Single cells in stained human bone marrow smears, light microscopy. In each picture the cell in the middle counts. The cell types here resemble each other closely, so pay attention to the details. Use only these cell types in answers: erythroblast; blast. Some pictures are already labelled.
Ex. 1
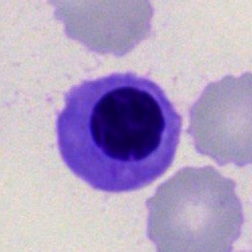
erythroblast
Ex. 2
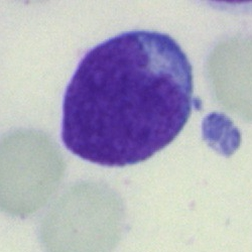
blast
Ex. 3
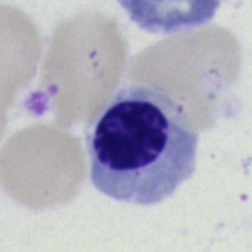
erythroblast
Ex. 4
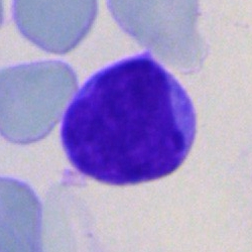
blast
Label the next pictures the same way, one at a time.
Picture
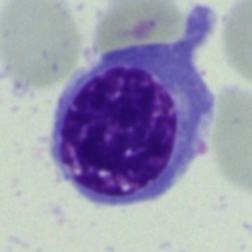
erythroblast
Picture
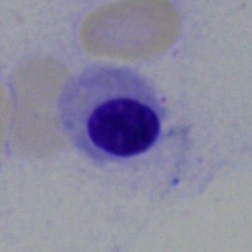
erythroblast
